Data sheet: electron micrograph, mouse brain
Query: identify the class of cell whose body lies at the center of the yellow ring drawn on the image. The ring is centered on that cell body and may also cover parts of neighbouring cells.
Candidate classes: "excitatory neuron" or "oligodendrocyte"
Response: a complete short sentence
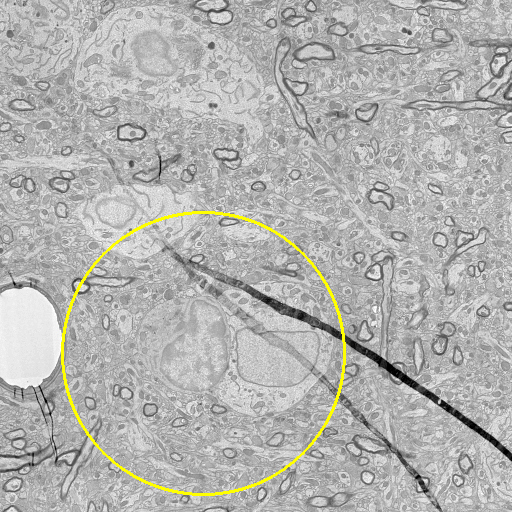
At the center of the ring lies an oligodendrocyte.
